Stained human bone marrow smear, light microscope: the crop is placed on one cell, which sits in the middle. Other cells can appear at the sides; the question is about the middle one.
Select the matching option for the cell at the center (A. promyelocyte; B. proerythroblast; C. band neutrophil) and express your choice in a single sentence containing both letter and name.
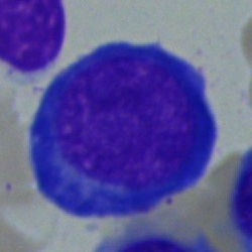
The cell positioned centrally is a proerythroblast, as given in option B, which is correct.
